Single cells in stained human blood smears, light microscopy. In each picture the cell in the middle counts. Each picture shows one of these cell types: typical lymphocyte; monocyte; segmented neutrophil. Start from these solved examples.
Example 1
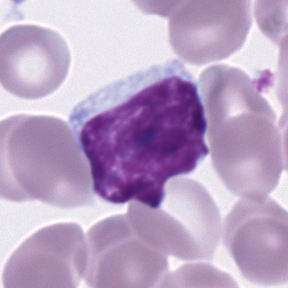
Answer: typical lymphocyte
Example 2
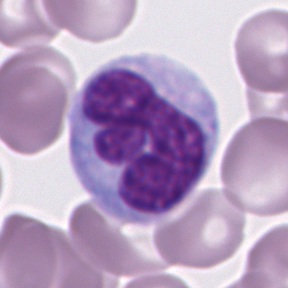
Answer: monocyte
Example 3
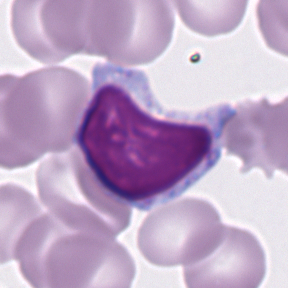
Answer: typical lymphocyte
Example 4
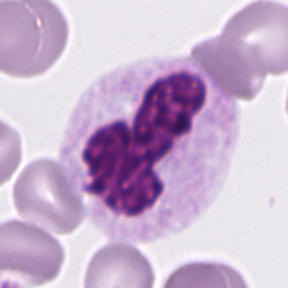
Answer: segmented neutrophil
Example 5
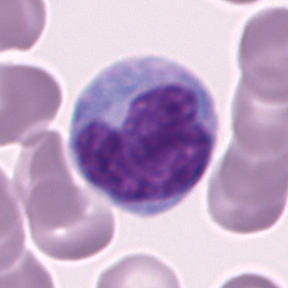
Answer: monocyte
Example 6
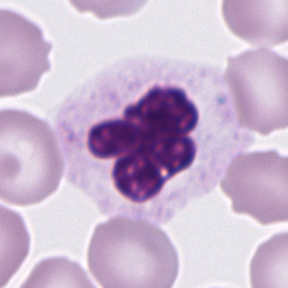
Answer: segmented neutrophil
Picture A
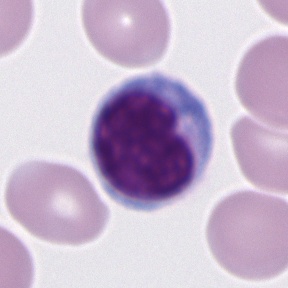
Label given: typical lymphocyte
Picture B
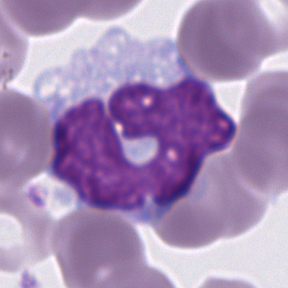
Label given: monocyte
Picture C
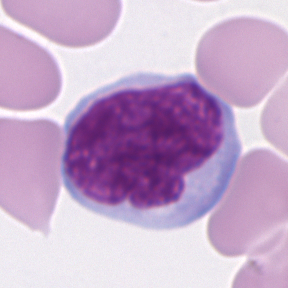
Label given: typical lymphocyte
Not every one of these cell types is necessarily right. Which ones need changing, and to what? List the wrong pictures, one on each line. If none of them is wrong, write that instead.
None of the labels needs changing.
